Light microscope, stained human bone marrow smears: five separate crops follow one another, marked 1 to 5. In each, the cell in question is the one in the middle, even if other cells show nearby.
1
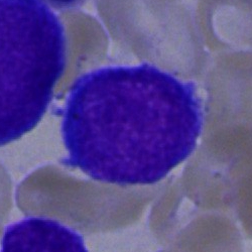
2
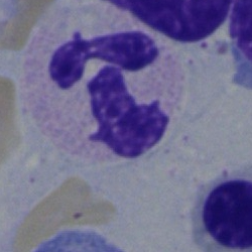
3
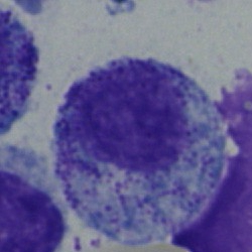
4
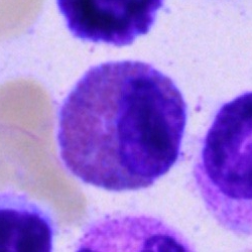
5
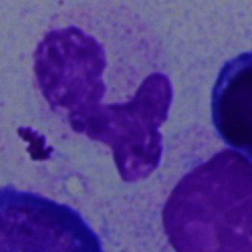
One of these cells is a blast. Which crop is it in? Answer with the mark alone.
1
